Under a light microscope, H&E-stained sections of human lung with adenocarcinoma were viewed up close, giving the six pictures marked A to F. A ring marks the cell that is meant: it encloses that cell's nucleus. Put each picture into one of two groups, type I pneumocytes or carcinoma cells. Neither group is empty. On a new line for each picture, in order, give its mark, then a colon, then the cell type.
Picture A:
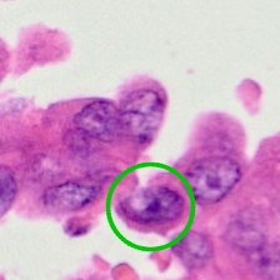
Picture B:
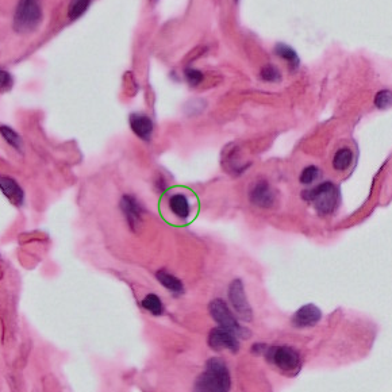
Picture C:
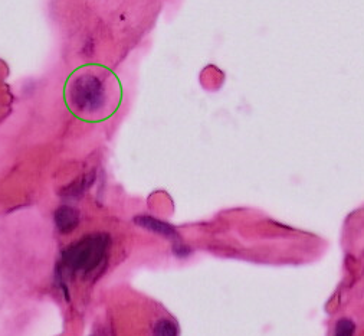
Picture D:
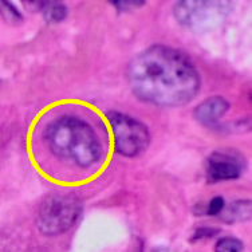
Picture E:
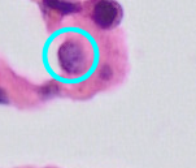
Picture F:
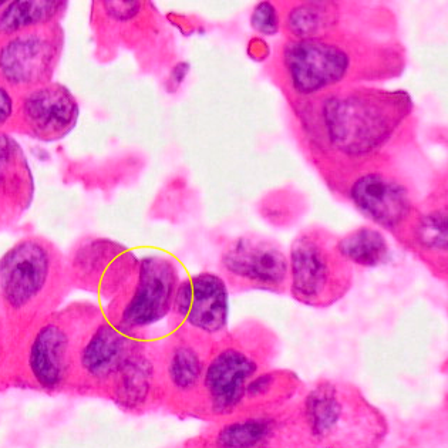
A: carcinoma cell
B: type I pneumocyte
C: type I pneumocyte
D: carcinoma cell
E: type I pneumocyte
F: carcinoma cell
